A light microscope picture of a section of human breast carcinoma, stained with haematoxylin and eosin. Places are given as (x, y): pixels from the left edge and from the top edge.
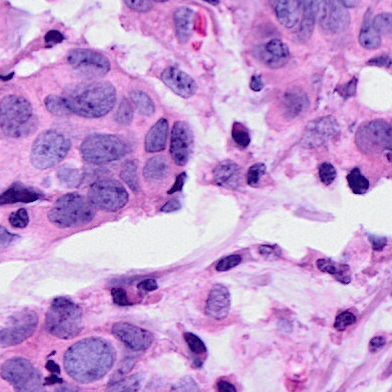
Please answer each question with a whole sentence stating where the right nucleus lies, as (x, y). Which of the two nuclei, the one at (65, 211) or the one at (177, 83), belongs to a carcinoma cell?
Housed in a carcinoma cell is the nucleus at (65, 211), not the other one.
